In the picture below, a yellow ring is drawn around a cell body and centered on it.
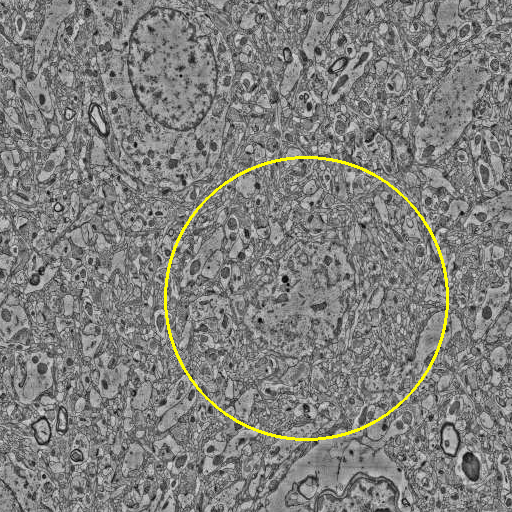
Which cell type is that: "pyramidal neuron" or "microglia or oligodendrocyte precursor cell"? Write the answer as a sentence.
The cell centered in the ring is a pyramidal neuron.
